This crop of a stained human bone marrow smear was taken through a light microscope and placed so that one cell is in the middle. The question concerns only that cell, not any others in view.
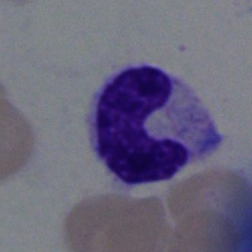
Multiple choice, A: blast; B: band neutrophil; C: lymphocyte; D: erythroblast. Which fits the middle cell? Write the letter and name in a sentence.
The cell in the middle is a band neutrophil, and so option B is correct.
